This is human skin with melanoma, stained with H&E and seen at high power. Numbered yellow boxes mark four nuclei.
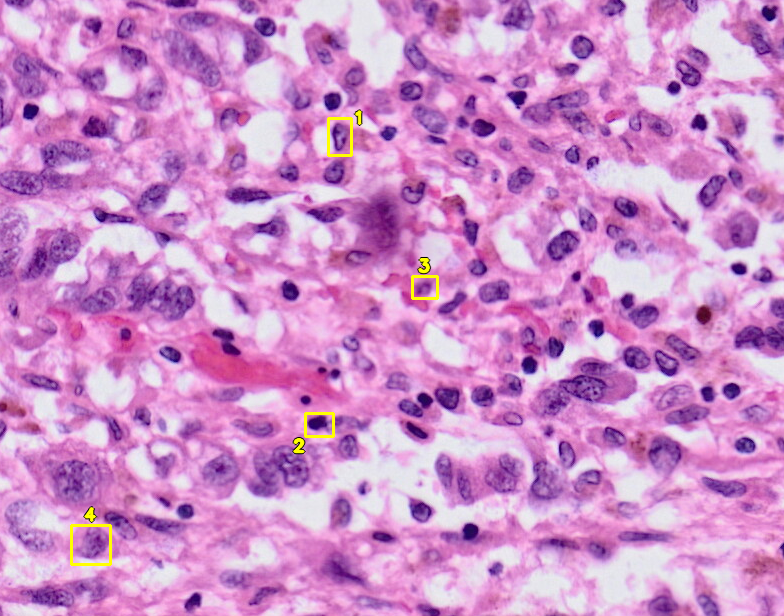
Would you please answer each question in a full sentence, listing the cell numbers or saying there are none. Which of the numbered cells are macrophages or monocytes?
The cells marked 1 and 3 in the section are macrophages or monocytes.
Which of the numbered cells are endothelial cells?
The cells whose nuclei carry numbers are not endothelial cells.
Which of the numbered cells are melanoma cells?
Exactly one numbered cell is a melanoma cell, and that cell is number 4.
